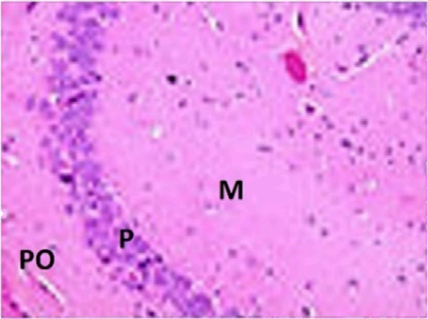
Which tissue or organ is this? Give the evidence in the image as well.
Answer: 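A curved band of closely packed purple neuronal cell bodies sweeps across the field. Broad pale pink neuropil with sparse small nuclei lies on the concave side of the band. On this evidence: hippocampus.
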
